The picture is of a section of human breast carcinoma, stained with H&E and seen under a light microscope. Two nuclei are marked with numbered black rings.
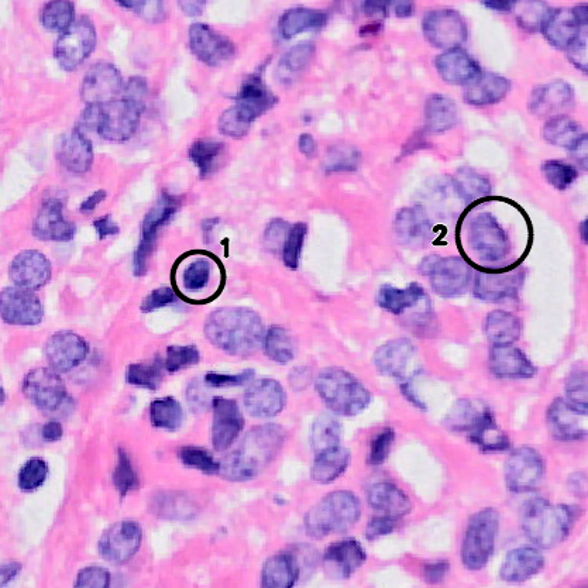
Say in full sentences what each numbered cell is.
Cell 1 is a lymphocyte and cell 2 is a carcinoma cell.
